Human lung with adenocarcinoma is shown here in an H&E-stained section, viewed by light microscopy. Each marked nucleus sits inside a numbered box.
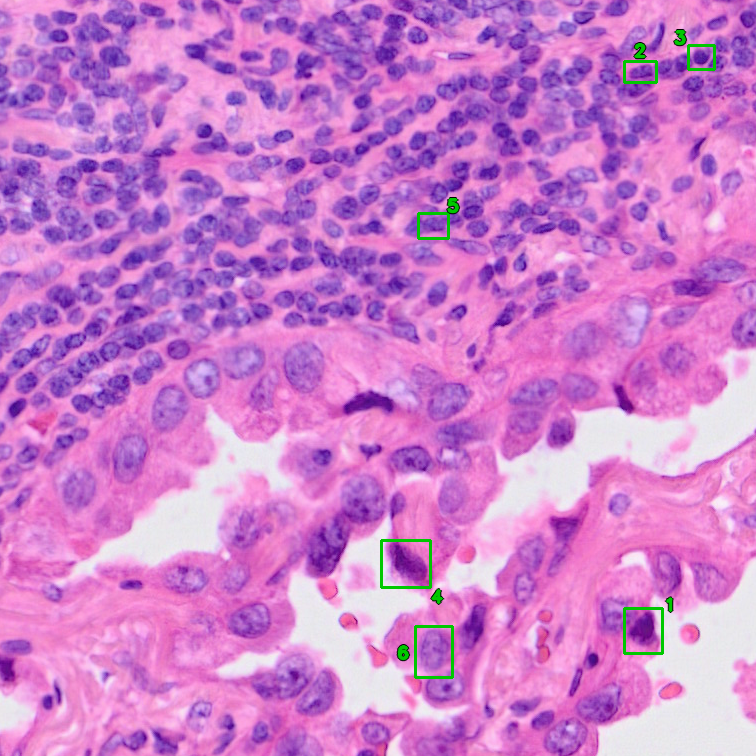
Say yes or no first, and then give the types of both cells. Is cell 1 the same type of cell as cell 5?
No, cell 1 is a carcinoma cell and cell 5 is a lymphocyte.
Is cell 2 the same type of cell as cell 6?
No, cell 2 is a lymphocyte and cell 6 is a carcinoma cell.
